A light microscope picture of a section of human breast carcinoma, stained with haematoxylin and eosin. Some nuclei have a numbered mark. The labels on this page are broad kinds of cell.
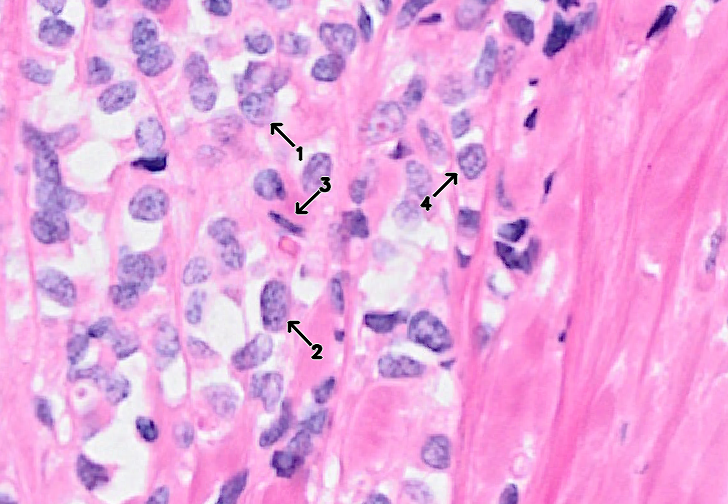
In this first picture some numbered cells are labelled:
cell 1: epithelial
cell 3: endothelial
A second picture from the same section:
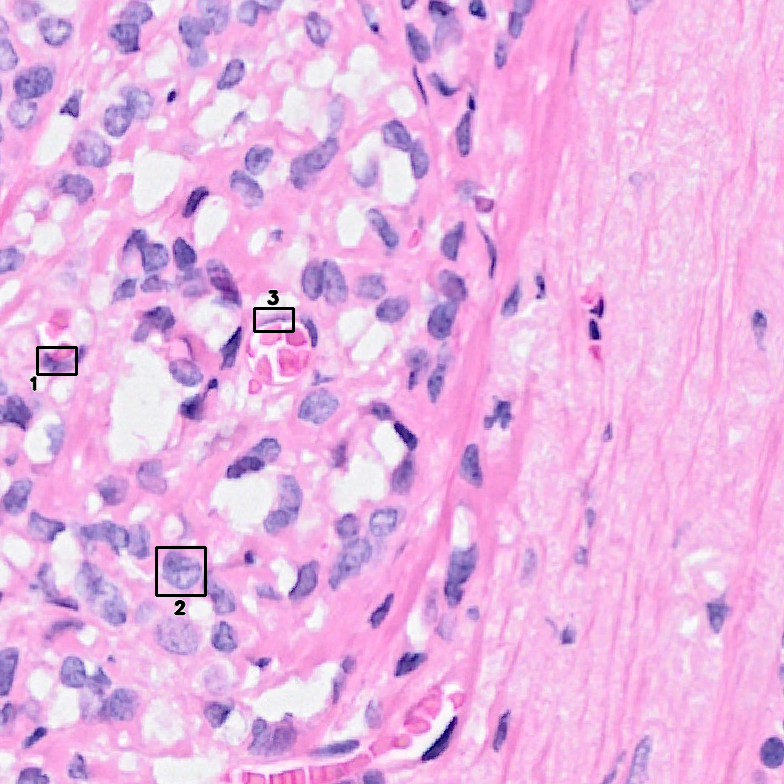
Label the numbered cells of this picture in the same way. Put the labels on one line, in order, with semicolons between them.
endothelial; epithelial; endothelial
